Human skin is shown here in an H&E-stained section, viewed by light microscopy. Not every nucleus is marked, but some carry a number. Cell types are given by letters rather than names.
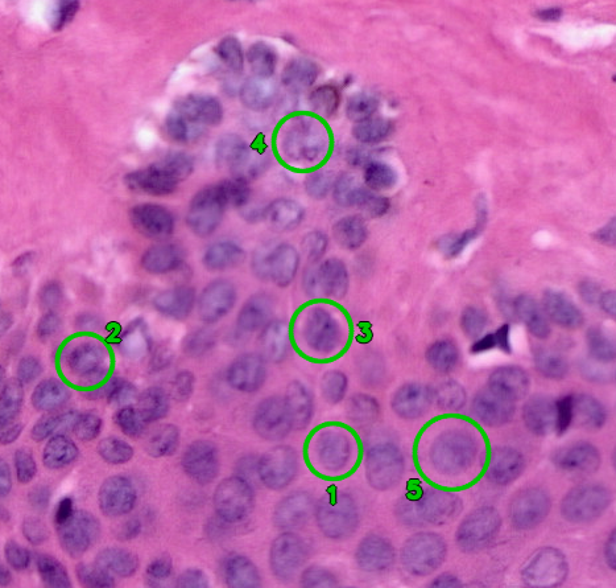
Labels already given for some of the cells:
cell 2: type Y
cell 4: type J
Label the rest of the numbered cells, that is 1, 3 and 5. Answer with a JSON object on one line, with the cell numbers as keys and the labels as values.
{"1": "type J", "3": "type Y", "5": "type J"}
